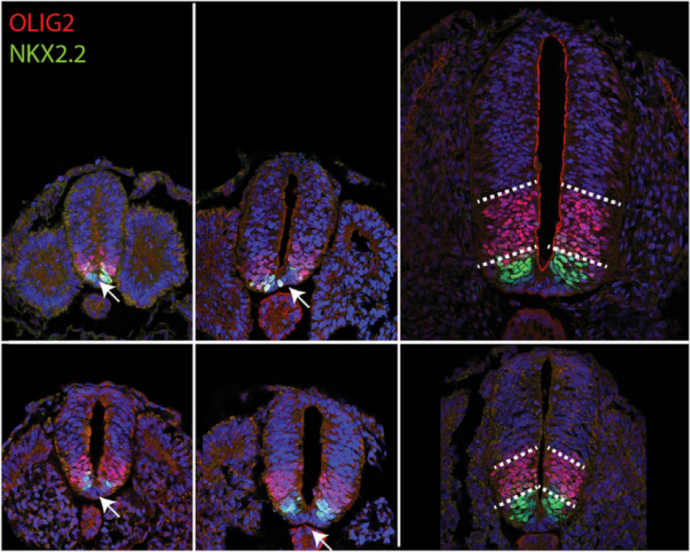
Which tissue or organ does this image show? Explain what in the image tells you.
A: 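Neural tubes. Each image is a cross-section of a tube of densely packed nuclei around a narrow central slit-like lumen. The tube is flanked by looser tissue on either side and lies above a small round structure.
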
